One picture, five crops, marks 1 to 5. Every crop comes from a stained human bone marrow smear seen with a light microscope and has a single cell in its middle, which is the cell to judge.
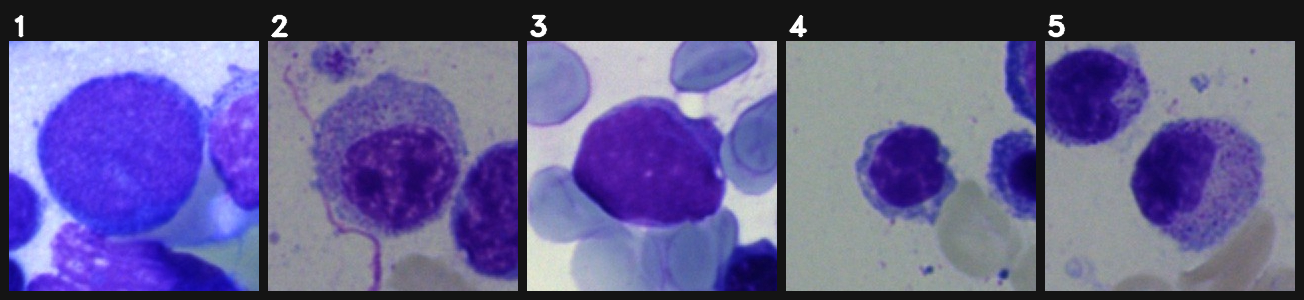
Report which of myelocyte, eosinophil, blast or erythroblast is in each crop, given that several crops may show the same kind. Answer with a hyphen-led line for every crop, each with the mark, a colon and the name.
- 1: blast
- 2: myelocyte
- 3: blast
- 4: erythroblast
- 5: myelocyte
